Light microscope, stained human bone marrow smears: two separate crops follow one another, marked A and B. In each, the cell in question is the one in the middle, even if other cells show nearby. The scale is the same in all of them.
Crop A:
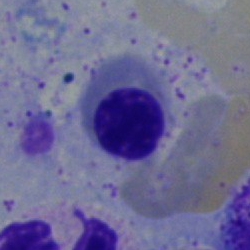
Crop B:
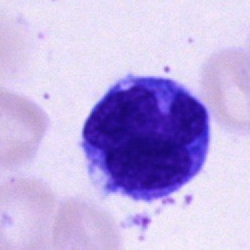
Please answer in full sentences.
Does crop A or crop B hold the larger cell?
The cell in crop B is larger, with about 2 times the area of the one in crop A.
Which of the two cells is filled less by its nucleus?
It is the cell in crop A that is filled less by its nucleus.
